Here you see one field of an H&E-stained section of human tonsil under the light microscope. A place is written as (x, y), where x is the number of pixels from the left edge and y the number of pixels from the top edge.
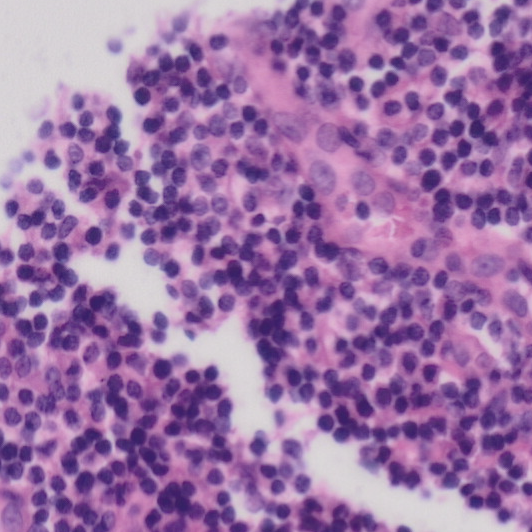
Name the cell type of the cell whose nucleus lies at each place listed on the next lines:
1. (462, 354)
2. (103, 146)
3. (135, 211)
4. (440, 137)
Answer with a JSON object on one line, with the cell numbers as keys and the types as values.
{"1": "endothelial cell", "2": "small lymphocyte", "3": "small lymphocyte", "4": "small lymphocyte"}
